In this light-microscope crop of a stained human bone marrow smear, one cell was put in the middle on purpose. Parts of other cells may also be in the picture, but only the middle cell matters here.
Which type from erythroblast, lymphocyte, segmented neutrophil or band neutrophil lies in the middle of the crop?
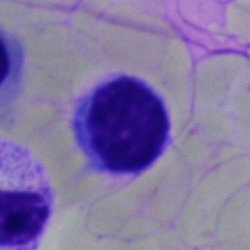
lymphocyte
